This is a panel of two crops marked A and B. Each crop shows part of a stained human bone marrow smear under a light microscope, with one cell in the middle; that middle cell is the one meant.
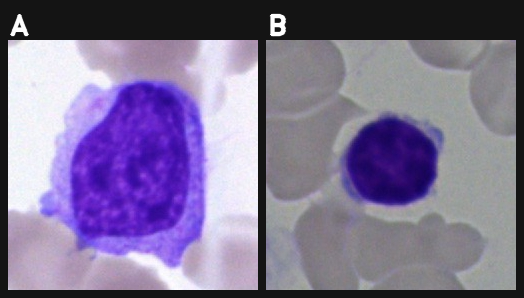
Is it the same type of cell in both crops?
no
